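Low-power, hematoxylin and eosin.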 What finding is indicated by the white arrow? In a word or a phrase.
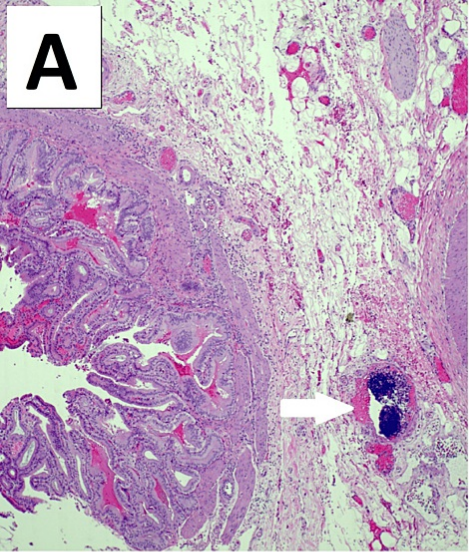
Tumor emboli.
